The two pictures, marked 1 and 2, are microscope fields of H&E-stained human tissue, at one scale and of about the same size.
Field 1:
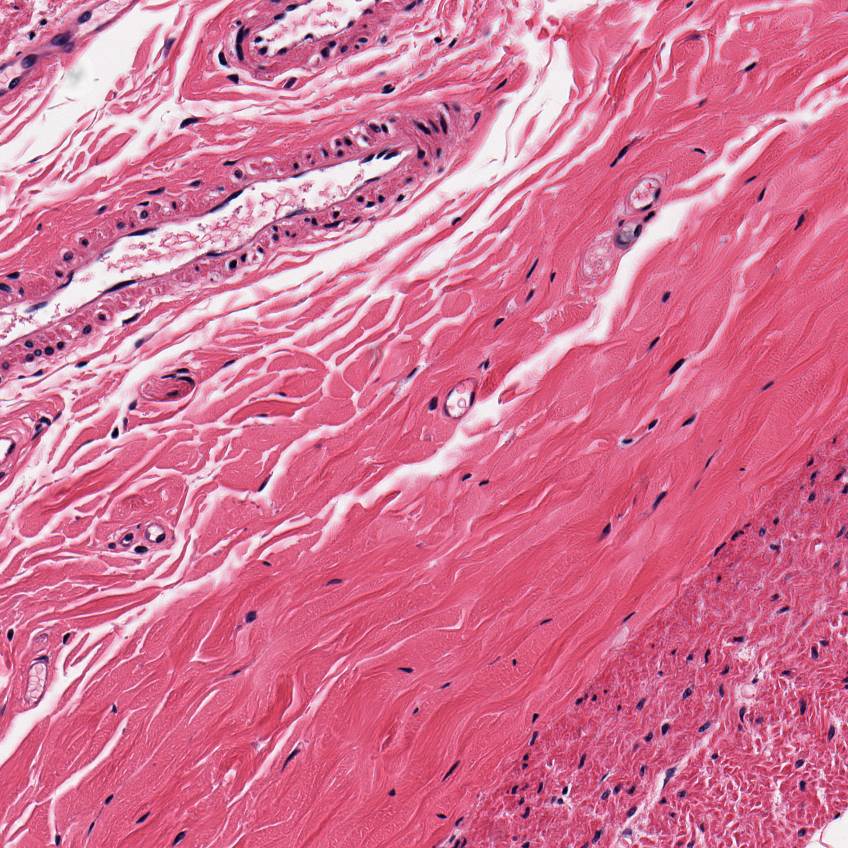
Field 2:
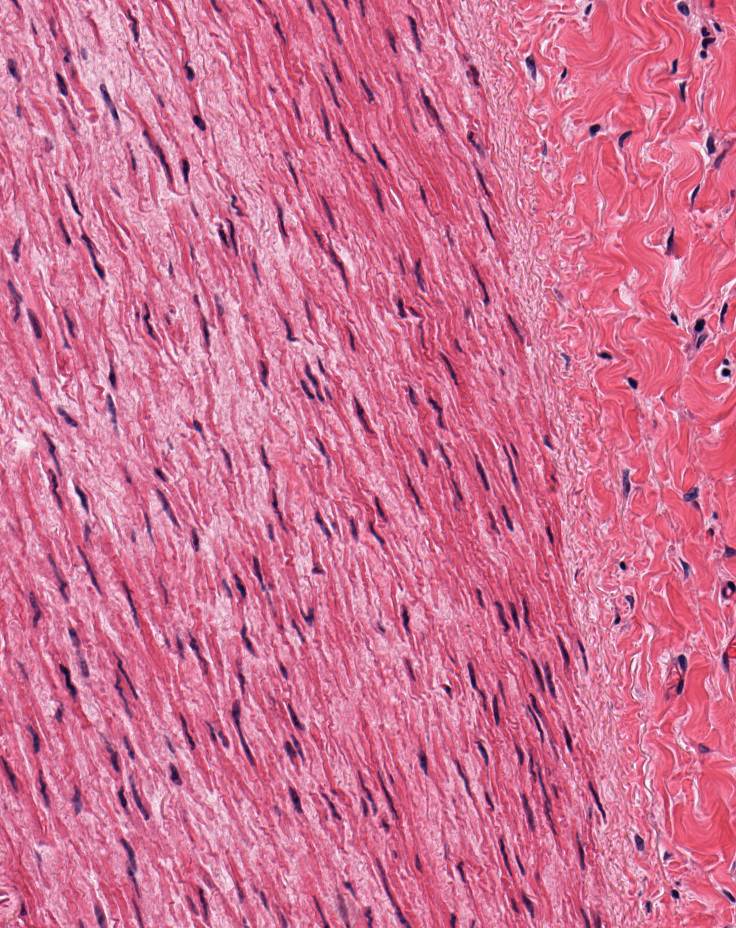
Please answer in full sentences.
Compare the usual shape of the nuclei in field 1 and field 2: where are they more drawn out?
On the whole the nuclei of field 2 are more drawn out than those of field 1.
